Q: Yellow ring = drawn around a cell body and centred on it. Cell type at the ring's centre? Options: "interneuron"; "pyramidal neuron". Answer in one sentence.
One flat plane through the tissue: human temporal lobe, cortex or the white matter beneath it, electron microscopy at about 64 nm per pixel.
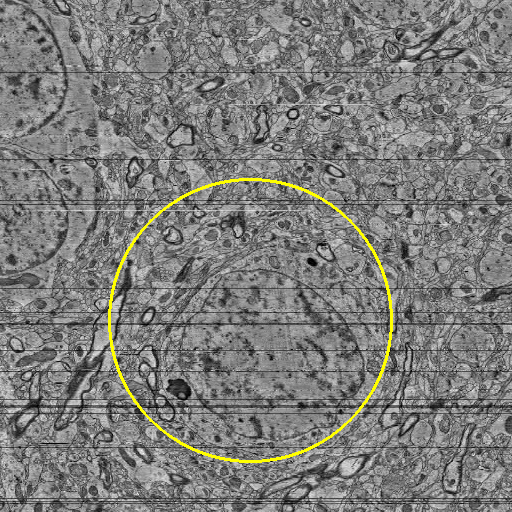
Centred in the ring is a pyramidal neuron.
